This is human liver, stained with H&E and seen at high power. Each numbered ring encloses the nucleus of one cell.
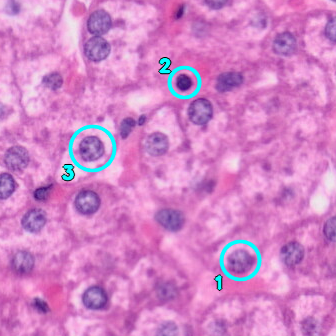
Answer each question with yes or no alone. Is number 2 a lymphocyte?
yes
